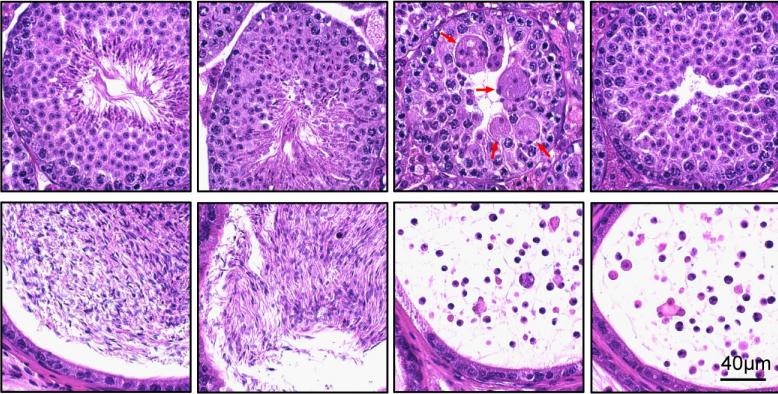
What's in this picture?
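In the two left tubules germ cells are layered from the basement membrane toward the lumen, with elongated spermatids and tails filling the centre; their epididymal ducts are packed with streaming sperm. In the two right tubules the lumen lacks elongated spermatids and tails, and in one of them several large cells containing multiple round nuclei lie near the lumen, marked by red arrows. The matching epididymal ducts hold no sperm mass, only scattered round, darkly stained cells and a few larger pale pink cells.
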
